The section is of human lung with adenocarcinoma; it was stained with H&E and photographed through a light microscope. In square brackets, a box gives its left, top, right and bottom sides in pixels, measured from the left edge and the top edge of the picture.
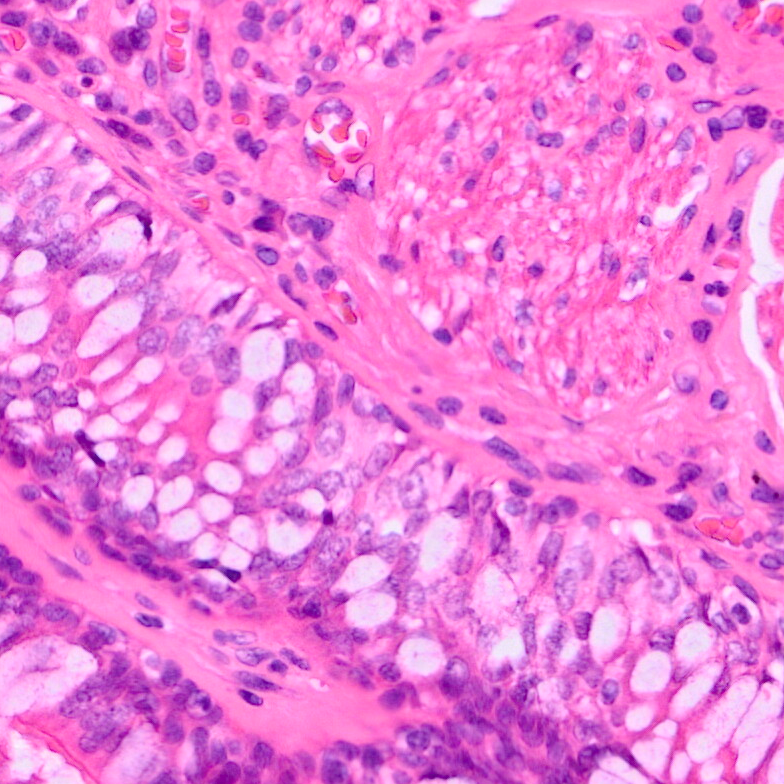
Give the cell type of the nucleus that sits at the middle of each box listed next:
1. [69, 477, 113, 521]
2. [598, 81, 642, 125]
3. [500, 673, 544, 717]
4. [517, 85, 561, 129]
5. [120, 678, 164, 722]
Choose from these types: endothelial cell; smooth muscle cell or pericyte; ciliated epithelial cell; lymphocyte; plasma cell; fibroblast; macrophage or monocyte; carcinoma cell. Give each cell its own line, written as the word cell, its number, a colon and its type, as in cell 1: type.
cell 1: ciliated epithelial cell
cell 2: smooth muscle cell or pericyte
cell 3: ciliated epithelial cell
cell 4: smooth muscle cell or pericyte
cell 5: ciliated epithelial cell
